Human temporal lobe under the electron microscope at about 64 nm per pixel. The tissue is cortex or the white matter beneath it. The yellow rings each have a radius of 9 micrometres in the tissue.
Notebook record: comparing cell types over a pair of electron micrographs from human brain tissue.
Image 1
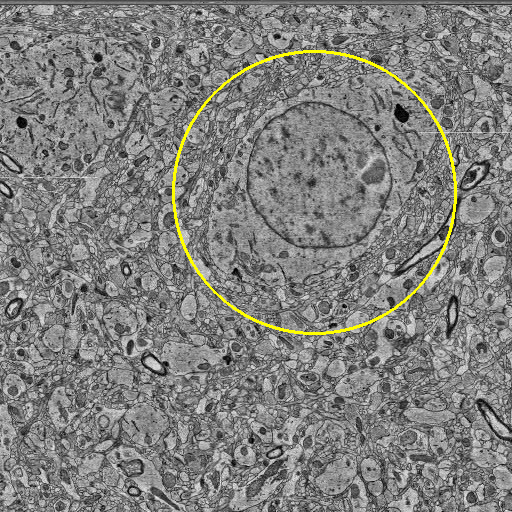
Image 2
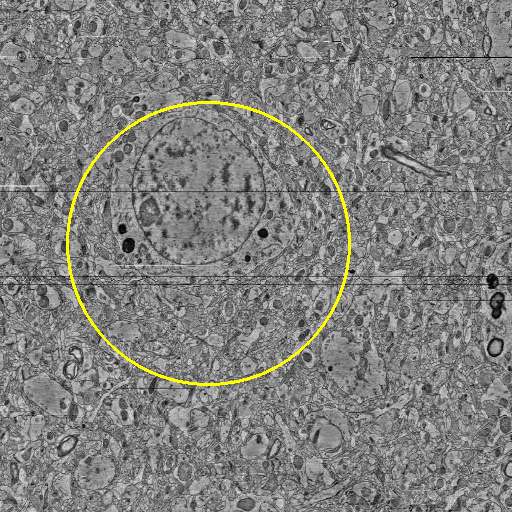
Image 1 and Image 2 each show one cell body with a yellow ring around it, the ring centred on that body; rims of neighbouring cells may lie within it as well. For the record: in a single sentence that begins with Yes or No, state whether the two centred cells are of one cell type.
Yes, one cell type is shared by the centred cells of Image 1 and Image 2.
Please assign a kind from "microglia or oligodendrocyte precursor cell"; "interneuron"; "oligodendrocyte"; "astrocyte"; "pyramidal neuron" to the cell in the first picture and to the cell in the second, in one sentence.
Both cells are the same kind, each one being a pyramidal neuron.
